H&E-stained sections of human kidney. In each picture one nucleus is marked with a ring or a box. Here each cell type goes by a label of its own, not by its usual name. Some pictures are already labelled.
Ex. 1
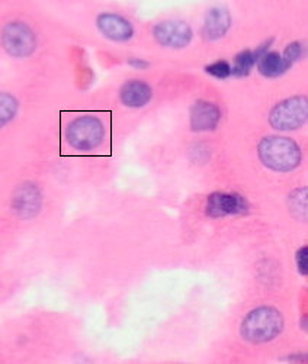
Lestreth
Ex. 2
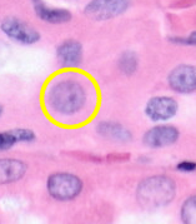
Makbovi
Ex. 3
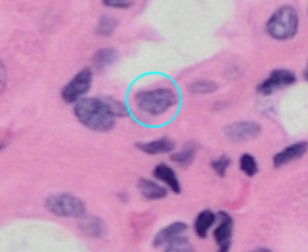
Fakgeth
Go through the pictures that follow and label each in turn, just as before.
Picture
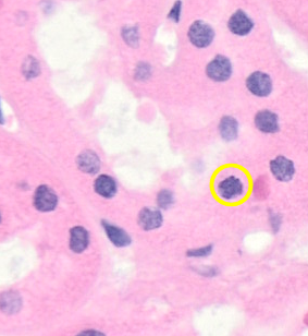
Makbovi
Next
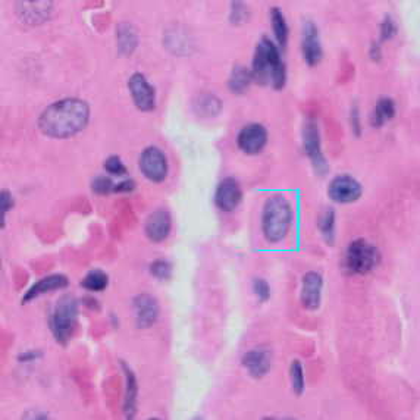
Makbovi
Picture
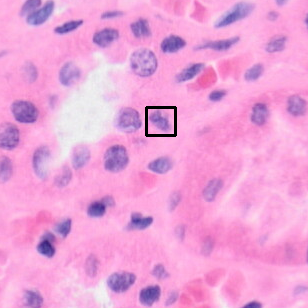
Makbovi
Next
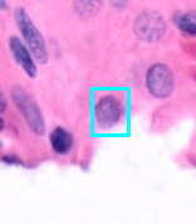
Makbovi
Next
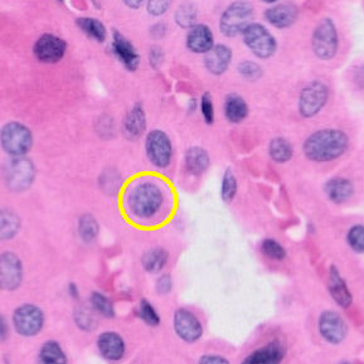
Makbovi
